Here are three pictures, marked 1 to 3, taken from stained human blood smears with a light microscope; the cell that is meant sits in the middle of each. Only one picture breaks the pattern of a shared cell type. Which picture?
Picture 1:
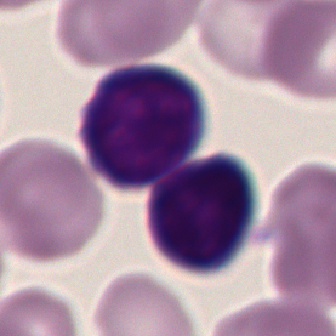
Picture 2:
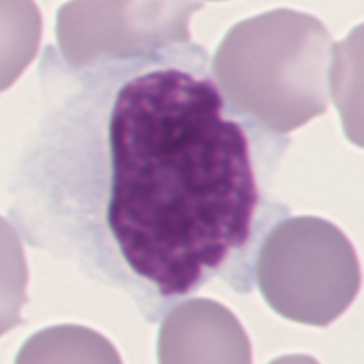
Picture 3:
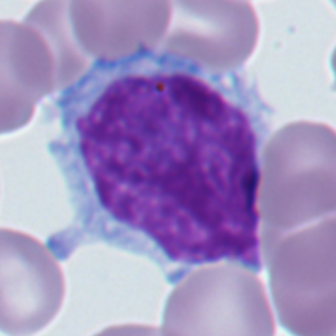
2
